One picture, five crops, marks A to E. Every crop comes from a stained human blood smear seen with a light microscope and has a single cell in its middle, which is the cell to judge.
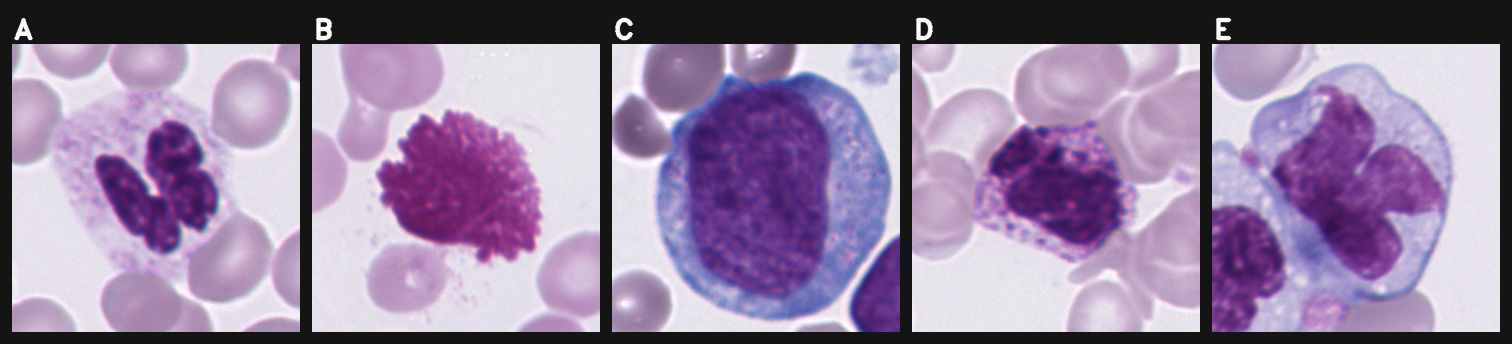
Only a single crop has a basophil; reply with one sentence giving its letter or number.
Among the crops given, only crop D shows a basophil.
